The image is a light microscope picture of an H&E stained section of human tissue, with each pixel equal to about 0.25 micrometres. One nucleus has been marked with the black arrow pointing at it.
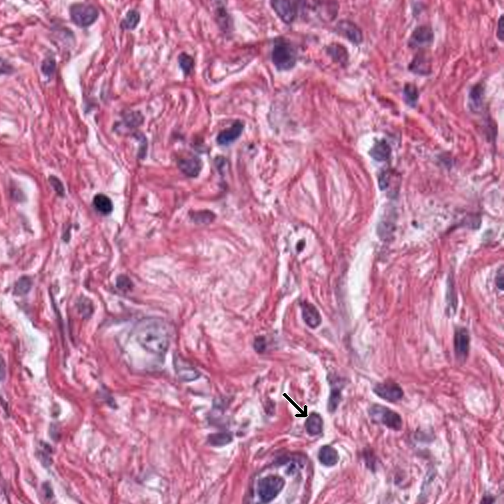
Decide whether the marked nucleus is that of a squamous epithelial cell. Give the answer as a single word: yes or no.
no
